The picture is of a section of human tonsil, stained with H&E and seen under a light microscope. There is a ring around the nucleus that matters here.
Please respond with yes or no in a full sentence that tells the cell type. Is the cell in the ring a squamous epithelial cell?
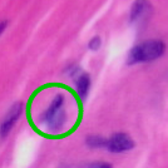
No, that is wrong: the cell in the ring is a mast cell, not a squamous epithelial cell.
